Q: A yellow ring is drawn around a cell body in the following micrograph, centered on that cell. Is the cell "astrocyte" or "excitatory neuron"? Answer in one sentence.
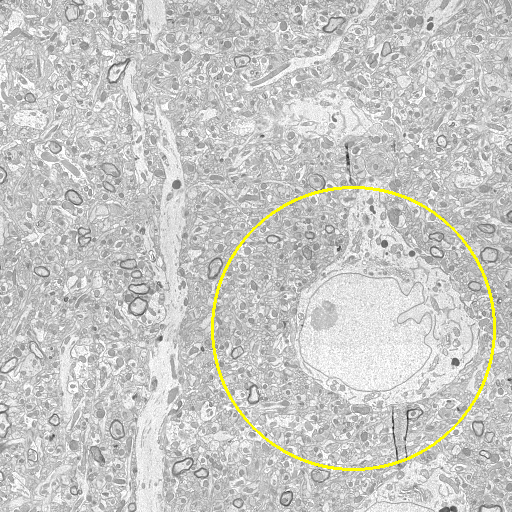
The cell in the center of the ring is an excitatory neuron.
